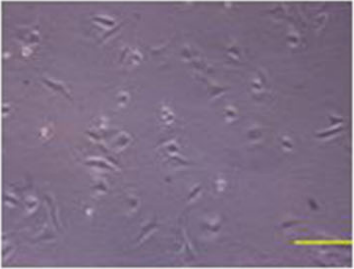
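Isolated cells are scattered sparsely over the flat surface of a culture dish, with wide empty spaces between them. Many cells are spread and spindle-shaped or polygonal, with two or more thin tapering extensions. Others are small, round and bright-rimmed, appearing not yet spread on the surface. The cells lie singly or in small loose groups without forming a continuous layer.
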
